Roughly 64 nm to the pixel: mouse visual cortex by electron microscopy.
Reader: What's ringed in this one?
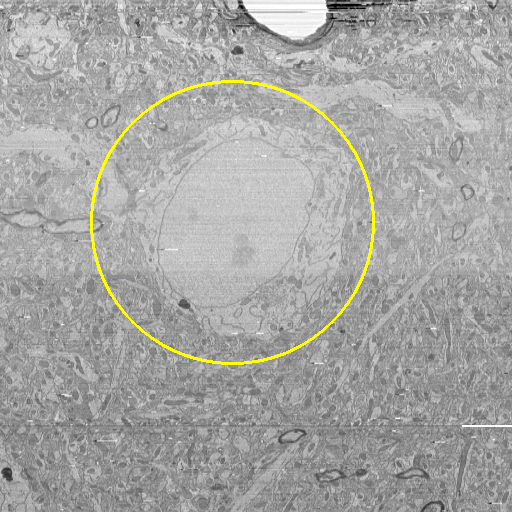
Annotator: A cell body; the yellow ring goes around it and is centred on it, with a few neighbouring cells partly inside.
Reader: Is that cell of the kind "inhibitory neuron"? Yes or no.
no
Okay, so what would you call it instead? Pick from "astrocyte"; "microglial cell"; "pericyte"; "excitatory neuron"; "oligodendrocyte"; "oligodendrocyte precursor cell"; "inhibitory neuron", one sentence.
The answer is that the ringed cell is an excitatory neuron.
